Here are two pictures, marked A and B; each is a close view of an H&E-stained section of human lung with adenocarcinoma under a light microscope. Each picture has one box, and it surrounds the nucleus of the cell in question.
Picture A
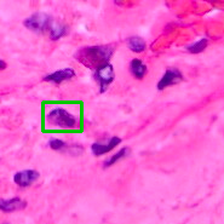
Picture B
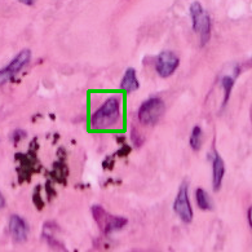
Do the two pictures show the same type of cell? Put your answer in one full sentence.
Yes; the cells in both pictures are plasma cells.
